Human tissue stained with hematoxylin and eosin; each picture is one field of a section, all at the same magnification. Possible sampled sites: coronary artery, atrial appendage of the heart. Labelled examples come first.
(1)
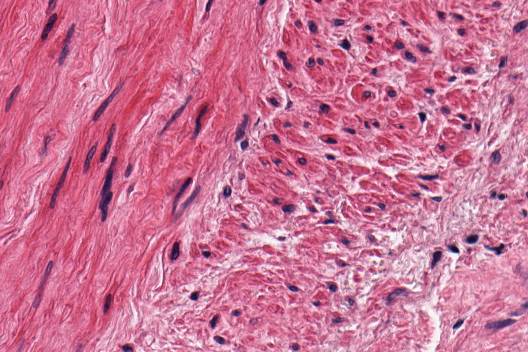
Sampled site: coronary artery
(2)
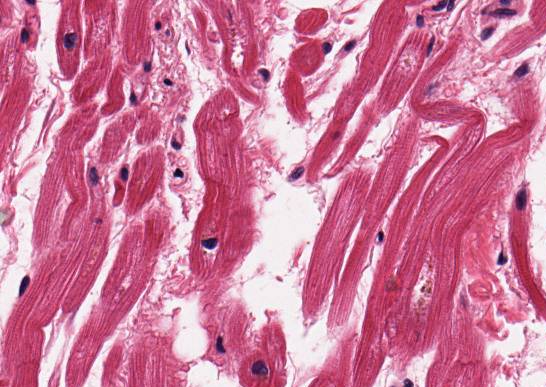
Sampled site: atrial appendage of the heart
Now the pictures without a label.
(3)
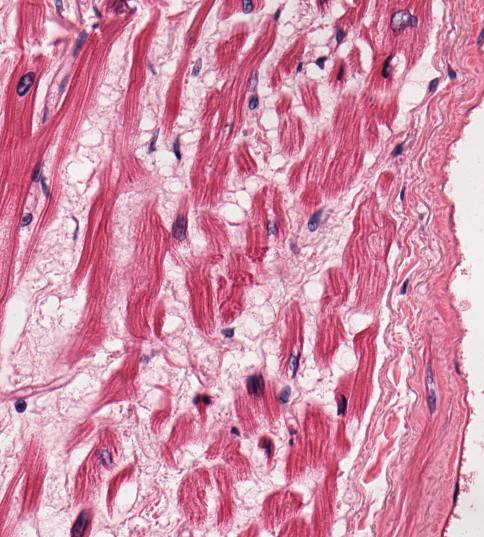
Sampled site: atrial appendage of the heart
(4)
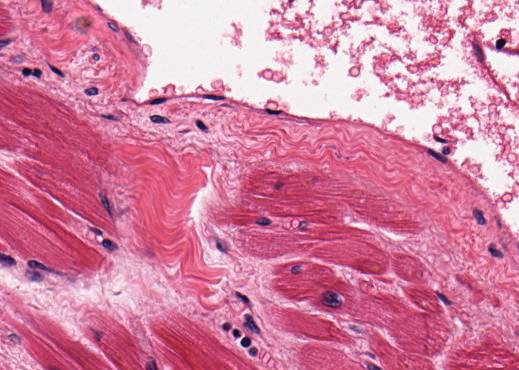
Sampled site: atrial appendage of the heart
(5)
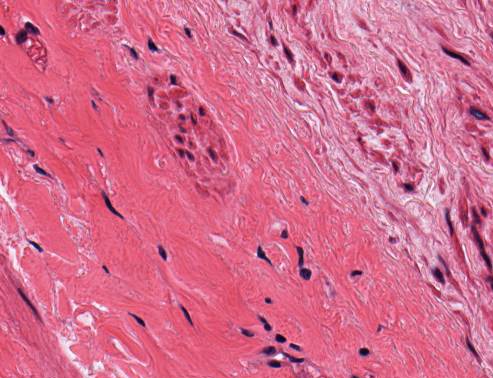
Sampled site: coronary artery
